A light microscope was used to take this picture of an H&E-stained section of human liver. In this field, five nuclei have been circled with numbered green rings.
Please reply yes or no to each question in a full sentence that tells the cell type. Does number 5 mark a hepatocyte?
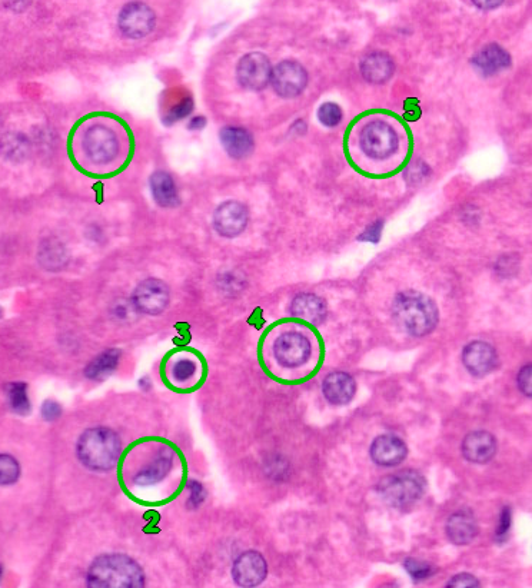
Yes, the cell carrying label 5 is a hepatocyte.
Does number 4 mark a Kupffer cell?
No, cell 4 is not a Kupffer cell; it is a hepatocyte.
